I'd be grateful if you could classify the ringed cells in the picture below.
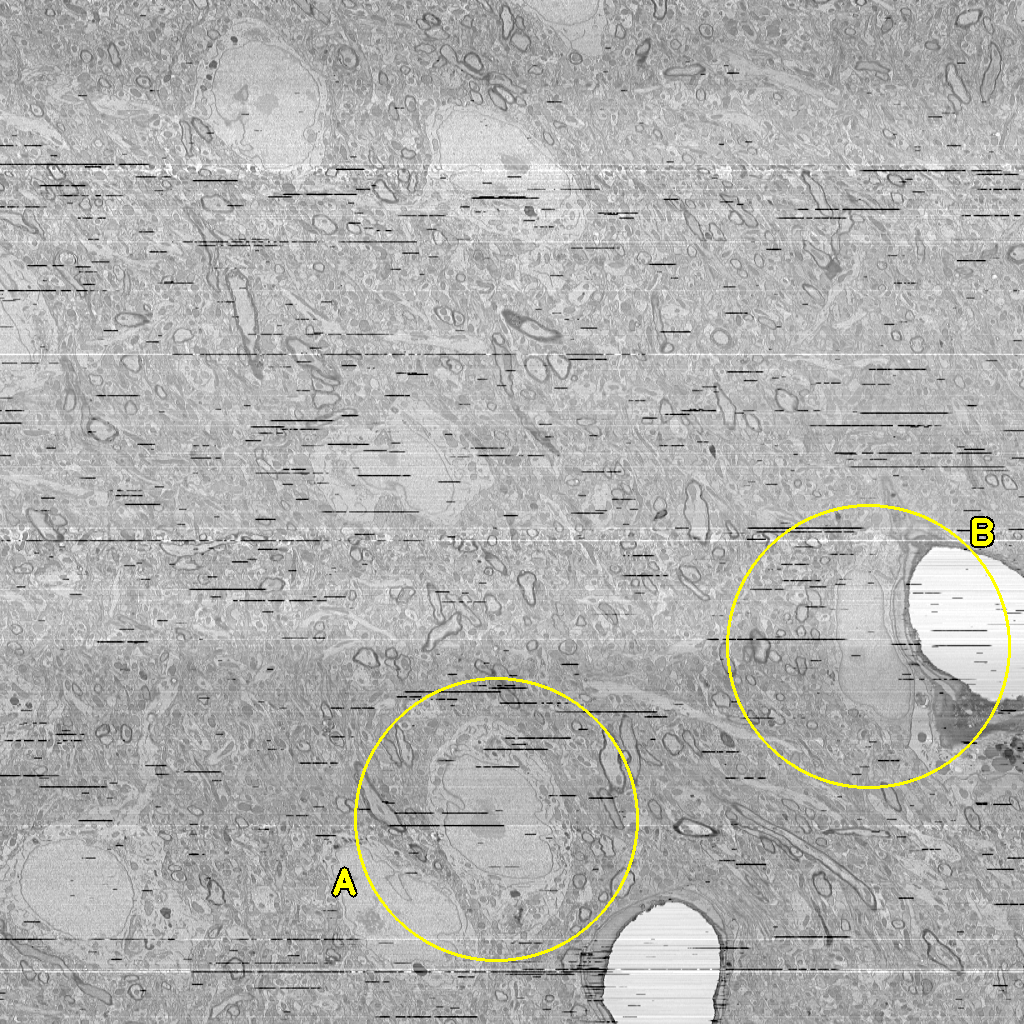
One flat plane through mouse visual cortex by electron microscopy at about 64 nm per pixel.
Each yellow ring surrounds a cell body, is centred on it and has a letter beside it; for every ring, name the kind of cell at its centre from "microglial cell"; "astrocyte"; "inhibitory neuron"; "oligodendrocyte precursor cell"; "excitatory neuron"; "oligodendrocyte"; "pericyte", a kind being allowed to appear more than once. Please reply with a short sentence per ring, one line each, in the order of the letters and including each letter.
In ring A we have an inhibitory neuron.
In ring B we have an astrocyte.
